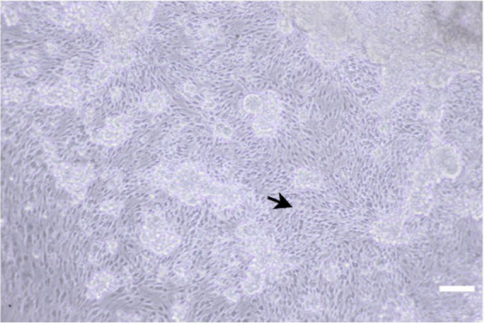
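A dense adherent sheet of elongated cells covers the dish, with streaming, partly aligned cell bodies. On top of it sit scattered clusters of small, rounded, bright cells budding up from the flat layer.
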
